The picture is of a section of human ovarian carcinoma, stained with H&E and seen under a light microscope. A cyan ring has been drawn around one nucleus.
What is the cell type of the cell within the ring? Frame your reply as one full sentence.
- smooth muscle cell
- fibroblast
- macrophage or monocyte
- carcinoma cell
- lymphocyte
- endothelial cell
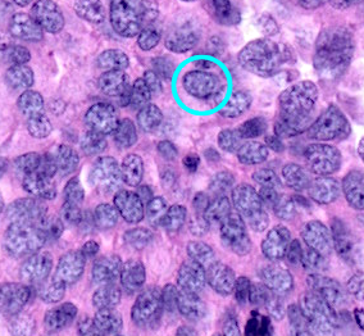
What the cell within the ring represents is a carcinoma cell.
